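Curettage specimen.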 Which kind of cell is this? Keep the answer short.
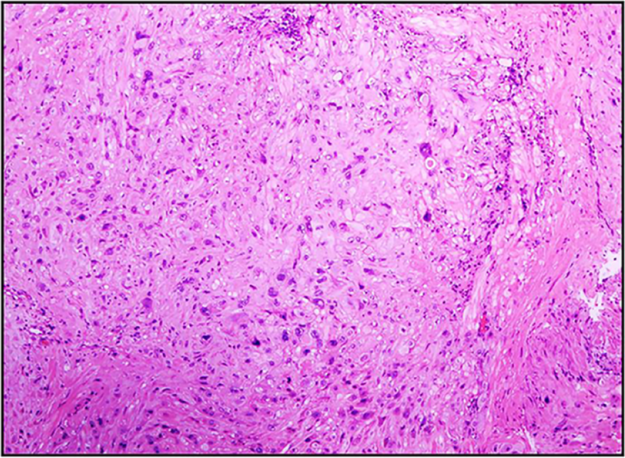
Intermediate-type trophoblast cells.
